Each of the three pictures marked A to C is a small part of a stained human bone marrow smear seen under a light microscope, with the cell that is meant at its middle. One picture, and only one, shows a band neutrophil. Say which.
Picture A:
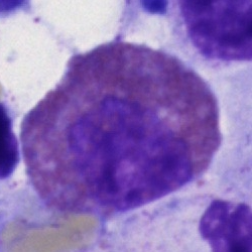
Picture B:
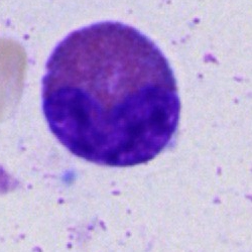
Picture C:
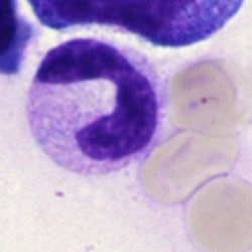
C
